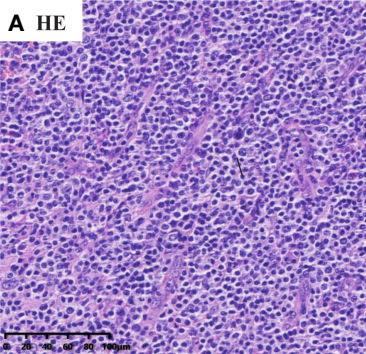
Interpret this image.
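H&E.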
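This is a diffuse, densely cellular lymphoid infiltrate in which no normal follicles are seen. The cells are a mixed population: many small to medium cells with round, dark, rather irregular nuclei, intermixed with somewhat larger cells that have paler cytoplasm. The cells are packed in sheets with little stroma between them. Running through the sheets are numerous narrow, branching vessels with pink walls and plump lining nuclei, giving a faintly arborizing pattern across the field. The overall impression is of a crowded, heterogeneous cell population closely associated with many small vessels.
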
